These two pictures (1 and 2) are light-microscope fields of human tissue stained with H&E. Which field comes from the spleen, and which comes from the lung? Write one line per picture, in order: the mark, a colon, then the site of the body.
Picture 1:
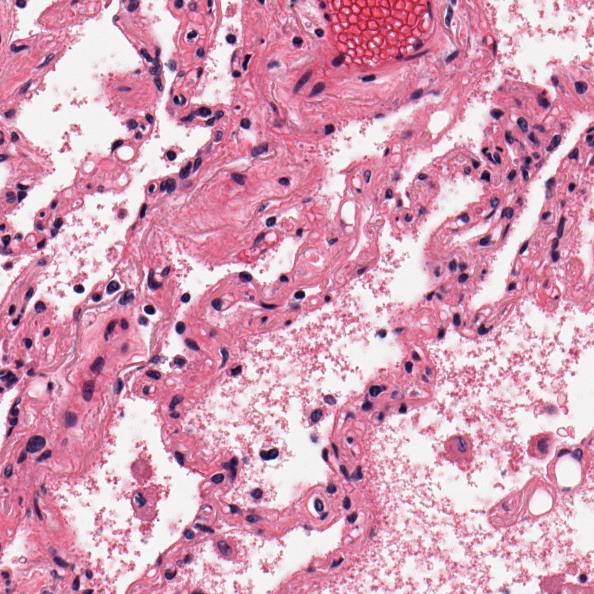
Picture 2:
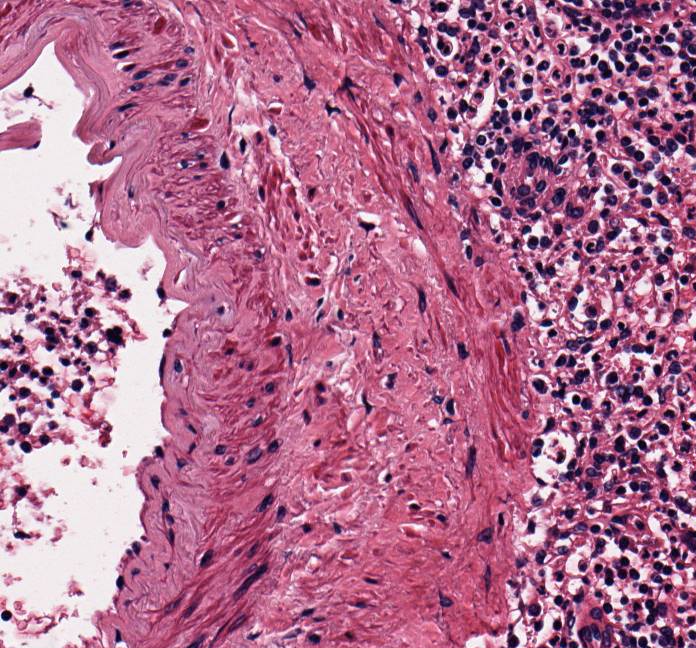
1: lung
2: spleen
